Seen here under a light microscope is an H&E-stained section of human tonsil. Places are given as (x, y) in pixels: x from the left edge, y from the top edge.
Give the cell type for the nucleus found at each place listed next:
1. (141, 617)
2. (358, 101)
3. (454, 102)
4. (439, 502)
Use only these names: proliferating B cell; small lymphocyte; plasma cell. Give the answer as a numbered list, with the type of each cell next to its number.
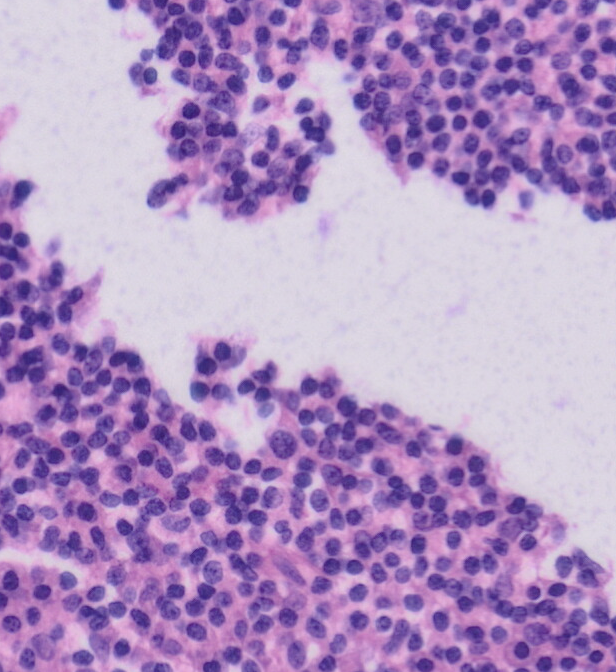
1. plasma cell
2. small lymphocyte
3. small lymphocyte
4. small lymphocyte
